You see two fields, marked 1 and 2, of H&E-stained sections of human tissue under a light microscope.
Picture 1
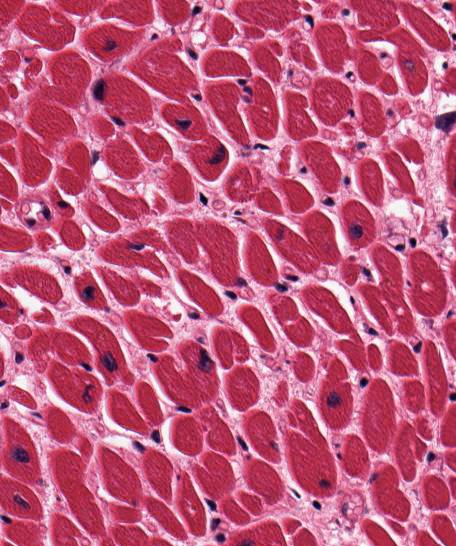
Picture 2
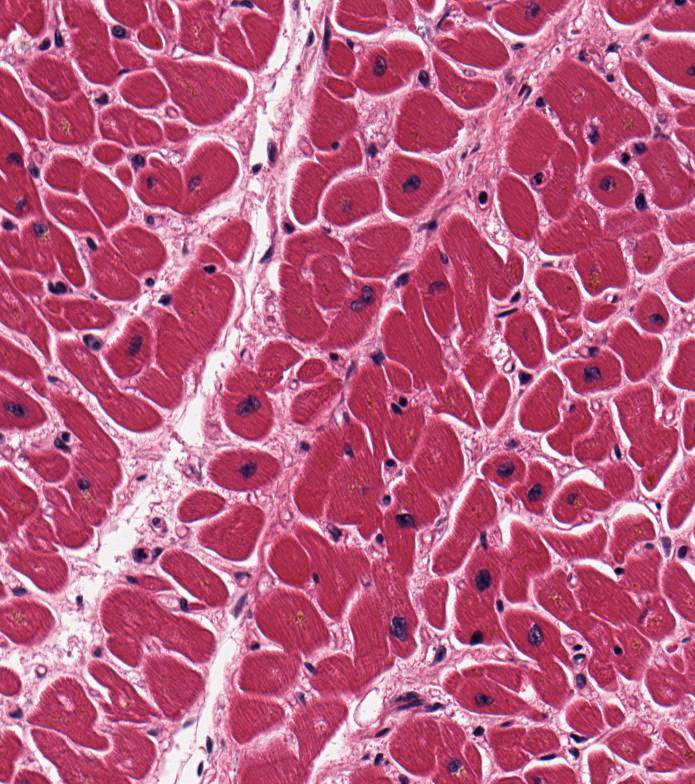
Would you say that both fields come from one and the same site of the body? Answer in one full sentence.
Yes, they come from the same site of the body: both come from the left ventricle of the heart.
